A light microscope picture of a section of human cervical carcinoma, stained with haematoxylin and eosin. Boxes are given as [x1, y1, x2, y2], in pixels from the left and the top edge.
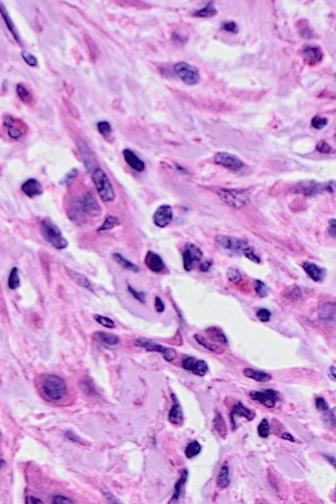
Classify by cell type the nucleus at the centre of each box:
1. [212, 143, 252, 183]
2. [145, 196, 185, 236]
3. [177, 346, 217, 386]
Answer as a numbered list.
1. macrophage or monocyte
2. lymphocyte
3. lymphocyte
